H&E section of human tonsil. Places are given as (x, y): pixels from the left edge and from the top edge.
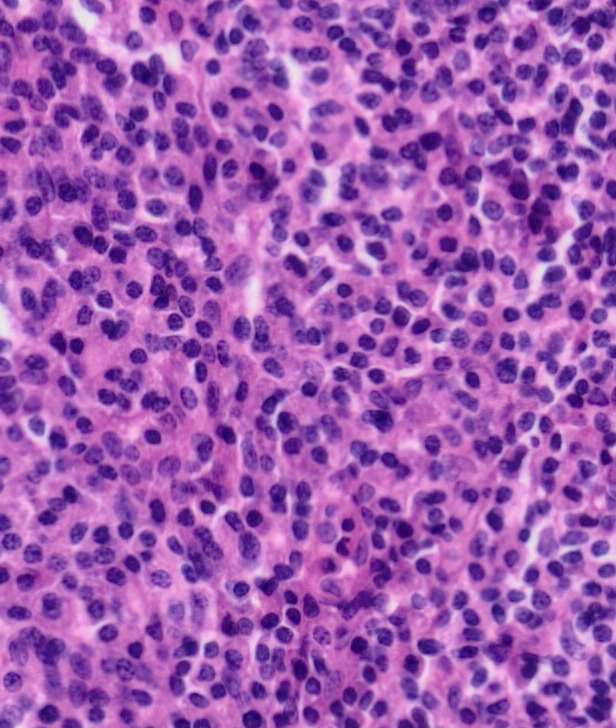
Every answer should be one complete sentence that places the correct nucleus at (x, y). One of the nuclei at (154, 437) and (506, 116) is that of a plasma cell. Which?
Lying within a plasma cell is the nucleus at (154, 437).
